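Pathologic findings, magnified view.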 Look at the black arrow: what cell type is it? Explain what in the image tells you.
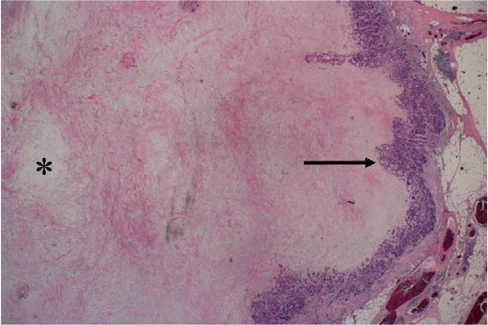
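The arrow points to a densely cellular purple band. The band lies between the pale area and the surrounding fat and vessels.
Tumor cells.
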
